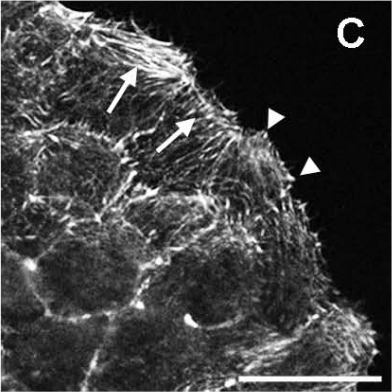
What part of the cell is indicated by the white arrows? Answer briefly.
Stress fibres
